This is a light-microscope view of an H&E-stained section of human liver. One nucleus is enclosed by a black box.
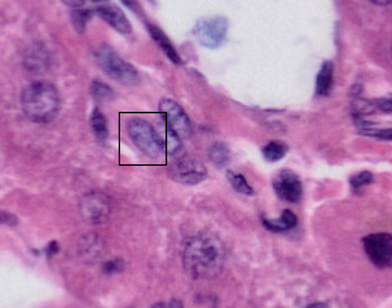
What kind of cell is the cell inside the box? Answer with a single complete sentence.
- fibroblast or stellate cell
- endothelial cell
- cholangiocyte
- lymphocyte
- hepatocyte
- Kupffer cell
For the purposes of cell typing, the cell inside the box is categorized as a cholangiocyte.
